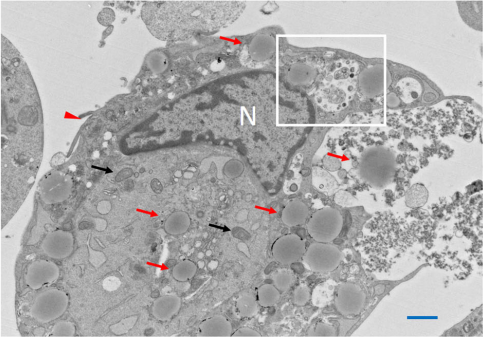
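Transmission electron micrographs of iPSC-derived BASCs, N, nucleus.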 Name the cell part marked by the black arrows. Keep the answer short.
Mitochondria.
